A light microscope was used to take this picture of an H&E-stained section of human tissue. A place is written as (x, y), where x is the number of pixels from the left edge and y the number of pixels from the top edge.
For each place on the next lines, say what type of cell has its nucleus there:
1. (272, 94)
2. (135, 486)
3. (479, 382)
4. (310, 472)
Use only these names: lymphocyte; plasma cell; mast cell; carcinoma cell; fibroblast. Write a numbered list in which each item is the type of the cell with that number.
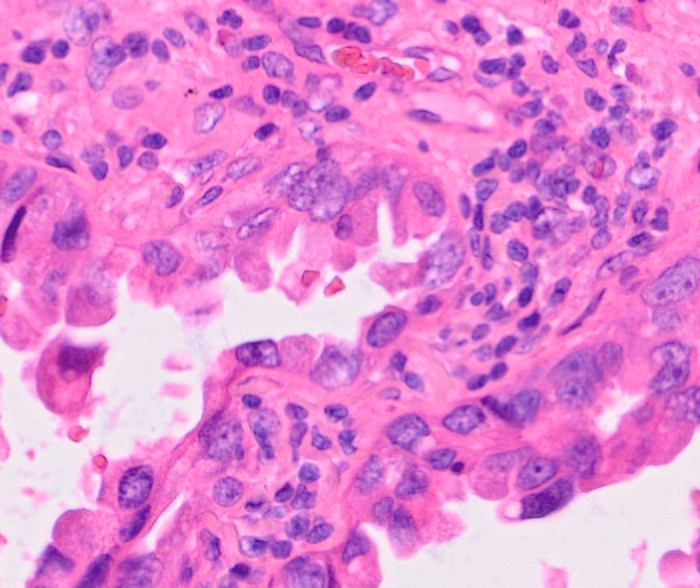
1. lymphocyte
2. carcinoma cell
3. lymphocyte
4. lymphocyte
